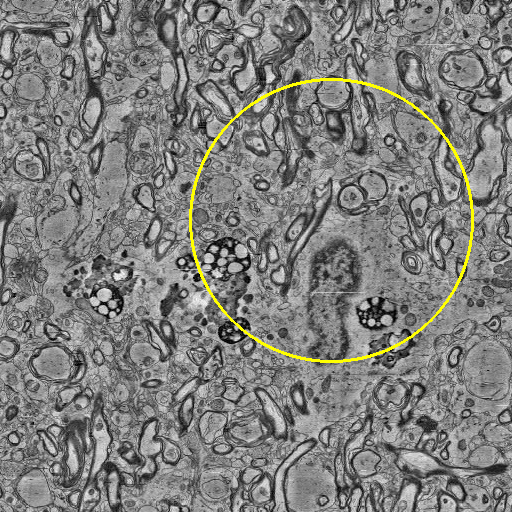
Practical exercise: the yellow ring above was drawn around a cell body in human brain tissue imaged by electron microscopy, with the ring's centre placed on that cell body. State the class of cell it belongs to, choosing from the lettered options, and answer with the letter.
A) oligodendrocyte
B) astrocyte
B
